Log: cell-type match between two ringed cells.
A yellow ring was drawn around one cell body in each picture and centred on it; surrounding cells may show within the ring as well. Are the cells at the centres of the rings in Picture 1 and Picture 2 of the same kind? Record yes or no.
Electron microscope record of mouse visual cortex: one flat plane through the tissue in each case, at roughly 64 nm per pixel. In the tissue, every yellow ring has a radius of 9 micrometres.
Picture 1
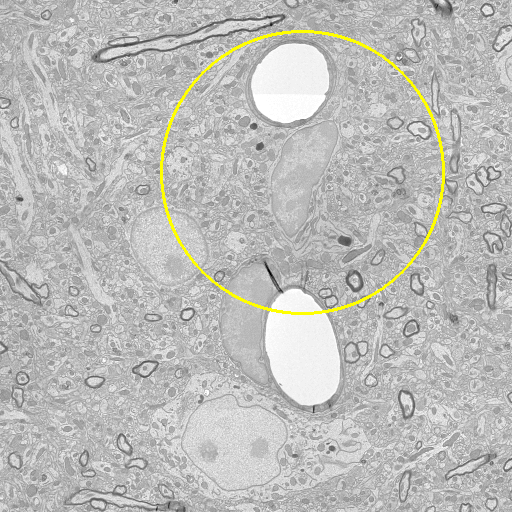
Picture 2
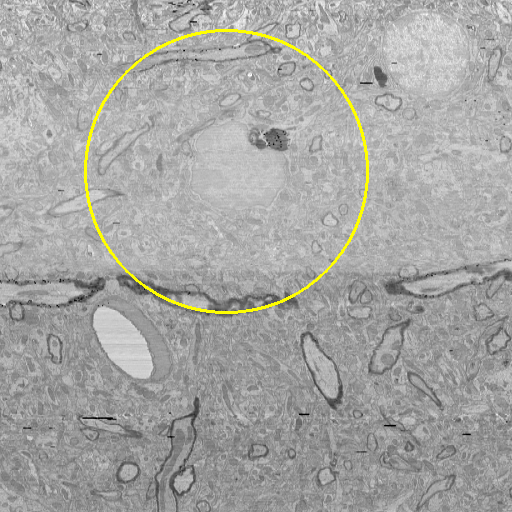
yes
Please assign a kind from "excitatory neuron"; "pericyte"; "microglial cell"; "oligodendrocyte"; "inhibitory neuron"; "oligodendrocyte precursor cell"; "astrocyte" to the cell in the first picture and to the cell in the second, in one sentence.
Both pictures show a microglial cell at the centre of the ring.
